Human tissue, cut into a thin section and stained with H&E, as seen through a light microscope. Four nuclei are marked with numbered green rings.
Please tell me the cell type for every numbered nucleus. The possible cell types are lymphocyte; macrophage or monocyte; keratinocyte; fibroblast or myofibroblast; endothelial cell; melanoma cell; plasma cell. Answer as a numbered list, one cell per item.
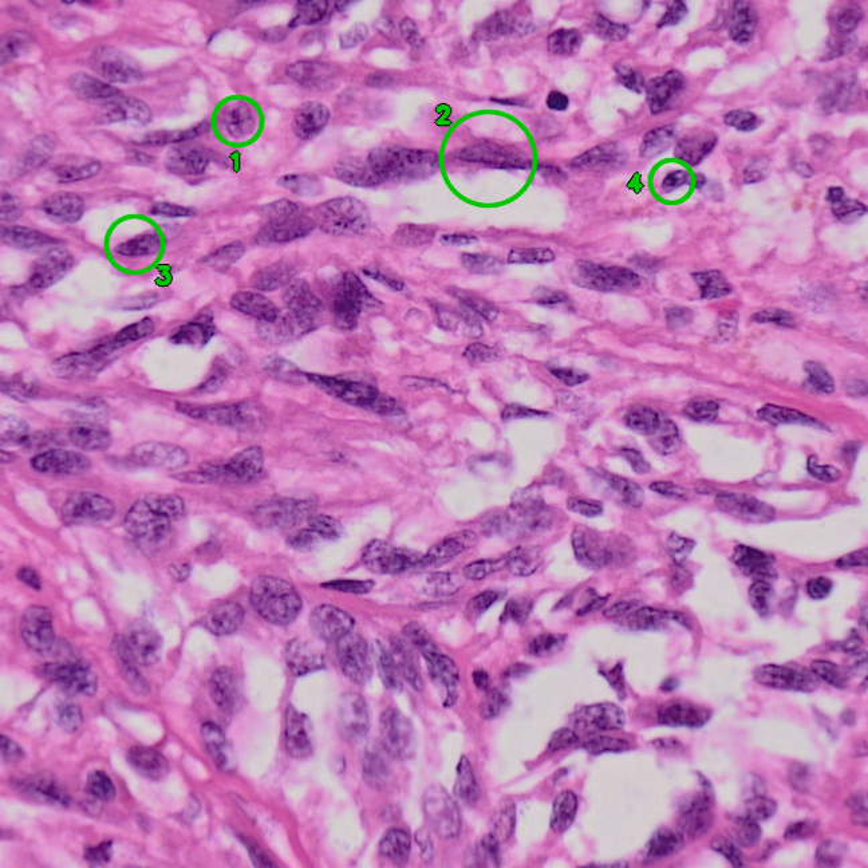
1. melanoma cell
2. melanoma cell
3. melanoma cell
4. lymphocyte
